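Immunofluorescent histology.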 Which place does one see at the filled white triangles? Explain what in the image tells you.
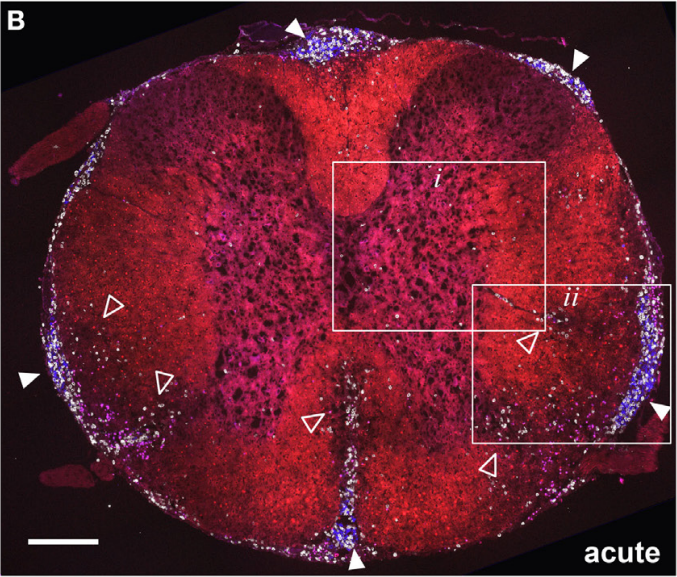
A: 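The filled triangles point to dense cell clusters on the outer surface of the section. The clusters form thin bands hugging the edge of the cord and lying in the midline fissure.
Conclusion: meninges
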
